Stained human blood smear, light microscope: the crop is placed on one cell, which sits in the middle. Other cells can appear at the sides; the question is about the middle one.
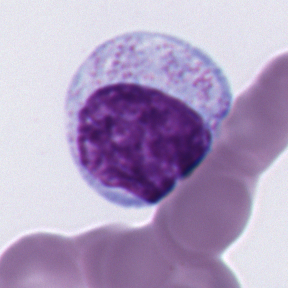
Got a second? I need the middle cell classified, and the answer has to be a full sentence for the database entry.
Whatever else lies nearby, the middle cell is a myelocyte.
